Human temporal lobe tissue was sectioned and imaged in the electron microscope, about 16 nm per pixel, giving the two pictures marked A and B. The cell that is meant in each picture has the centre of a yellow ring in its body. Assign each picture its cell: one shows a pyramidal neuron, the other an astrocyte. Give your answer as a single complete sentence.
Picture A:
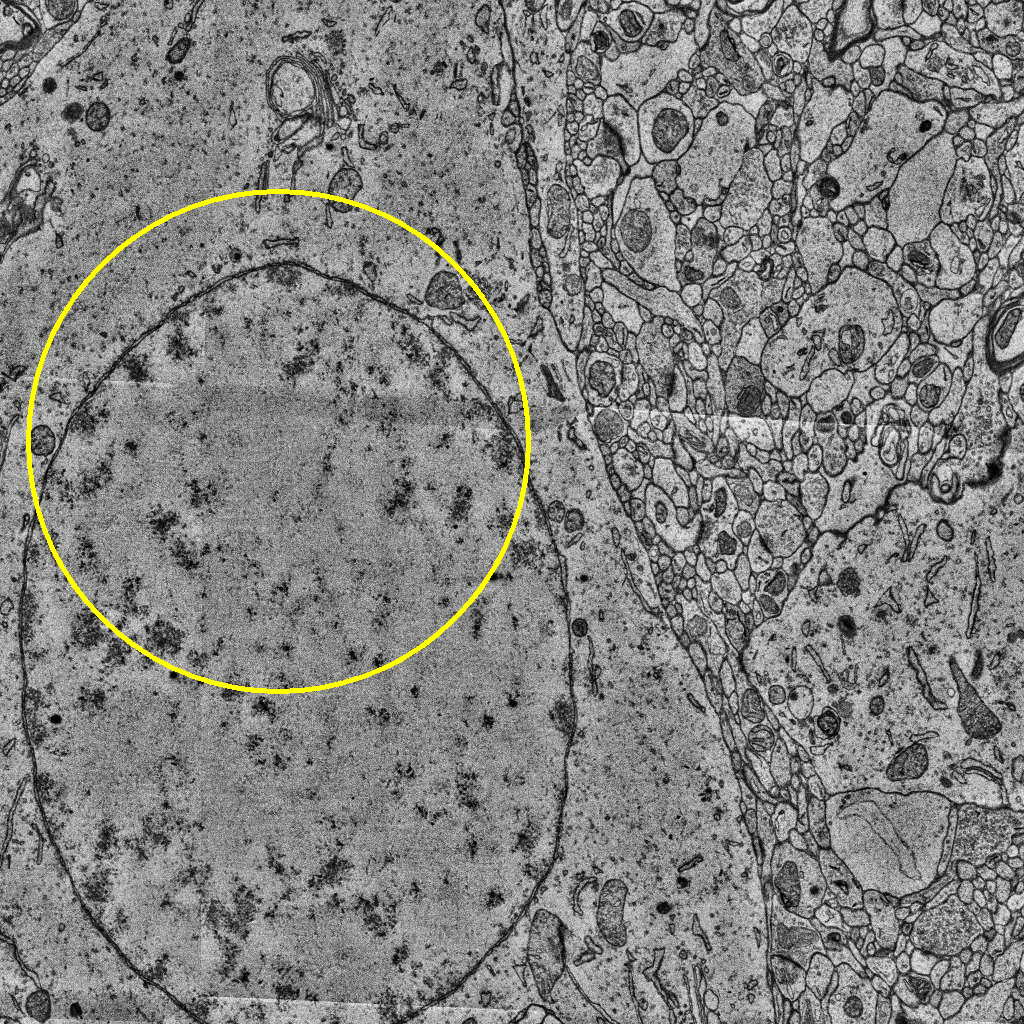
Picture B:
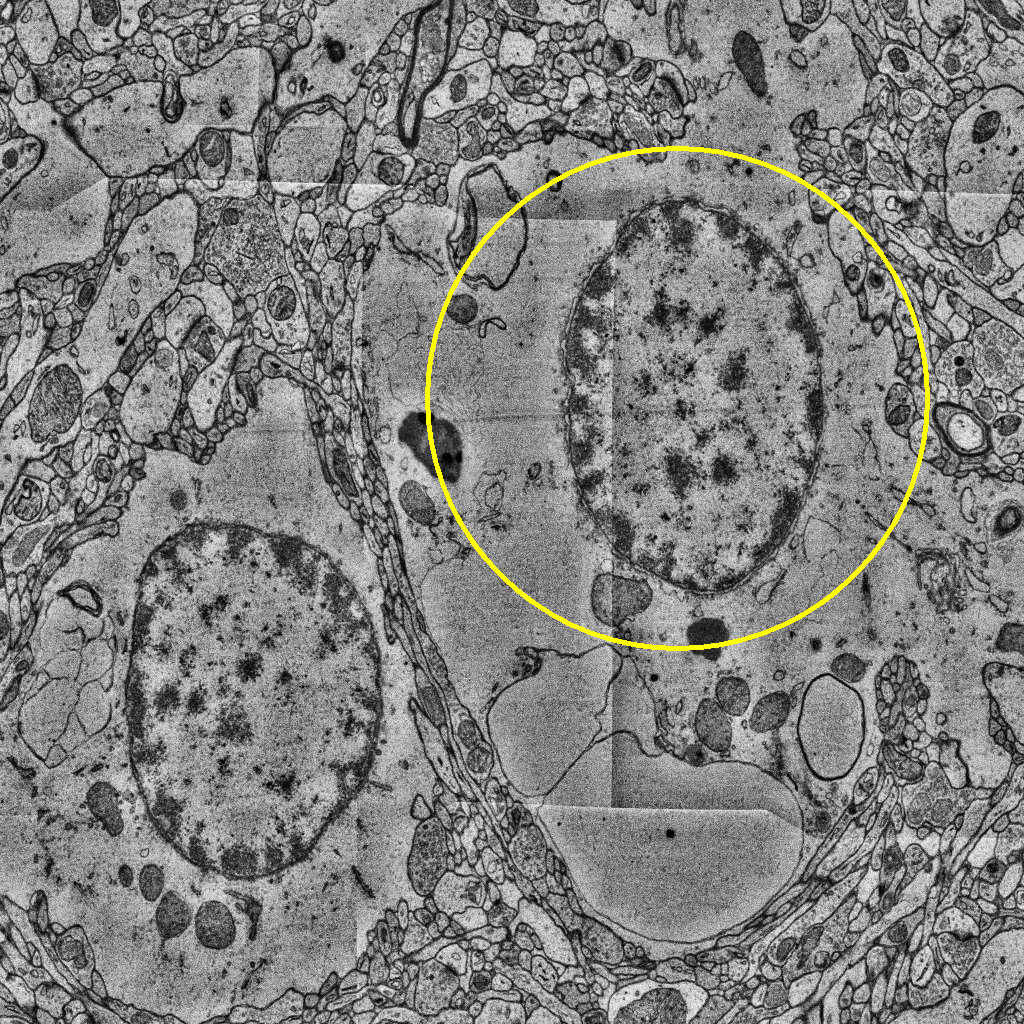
It is picture A that shows a pyramidal neuron, and picture B that shows an astrocyte.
